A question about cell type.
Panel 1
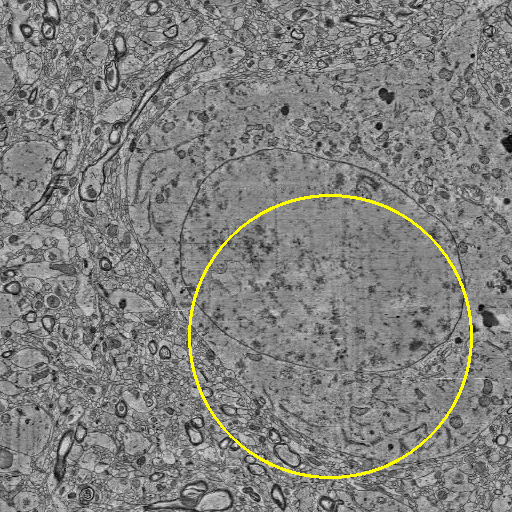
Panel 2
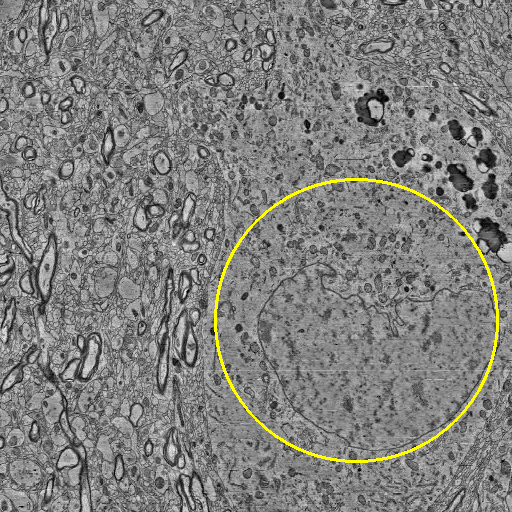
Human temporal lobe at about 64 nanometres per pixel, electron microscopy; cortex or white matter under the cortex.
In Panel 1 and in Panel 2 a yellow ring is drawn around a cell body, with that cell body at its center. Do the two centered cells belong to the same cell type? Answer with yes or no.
yes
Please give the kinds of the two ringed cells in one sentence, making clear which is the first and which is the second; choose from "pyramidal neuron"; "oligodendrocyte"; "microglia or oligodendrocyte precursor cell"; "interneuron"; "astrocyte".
In each picture the ringed cell is a pyramidal neuron.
